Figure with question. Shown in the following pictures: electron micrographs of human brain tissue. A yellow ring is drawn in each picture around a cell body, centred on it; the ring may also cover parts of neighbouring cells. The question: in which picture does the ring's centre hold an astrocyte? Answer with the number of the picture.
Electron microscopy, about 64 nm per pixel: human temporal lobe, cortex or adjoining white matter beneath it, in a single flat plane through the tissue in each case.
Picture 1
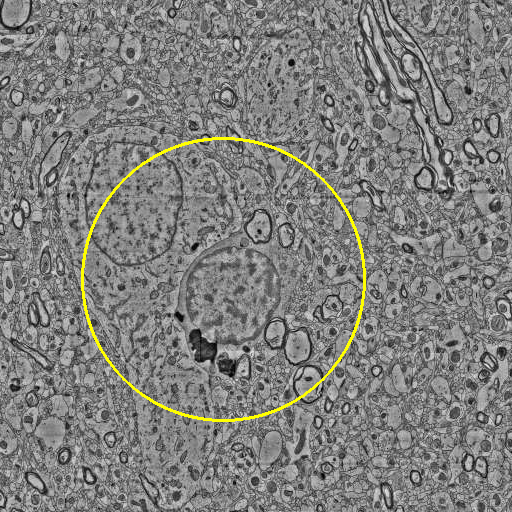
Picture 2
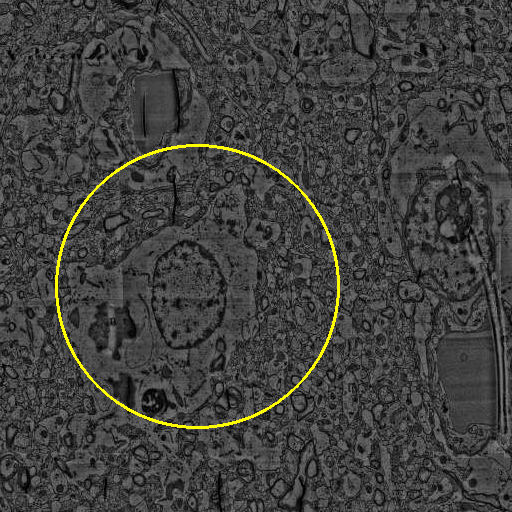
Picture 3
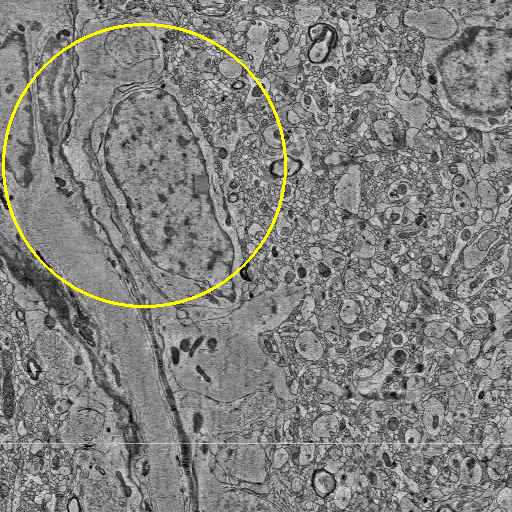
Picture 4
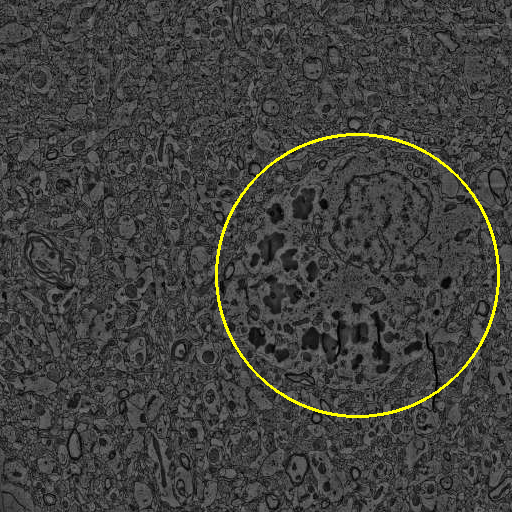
2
